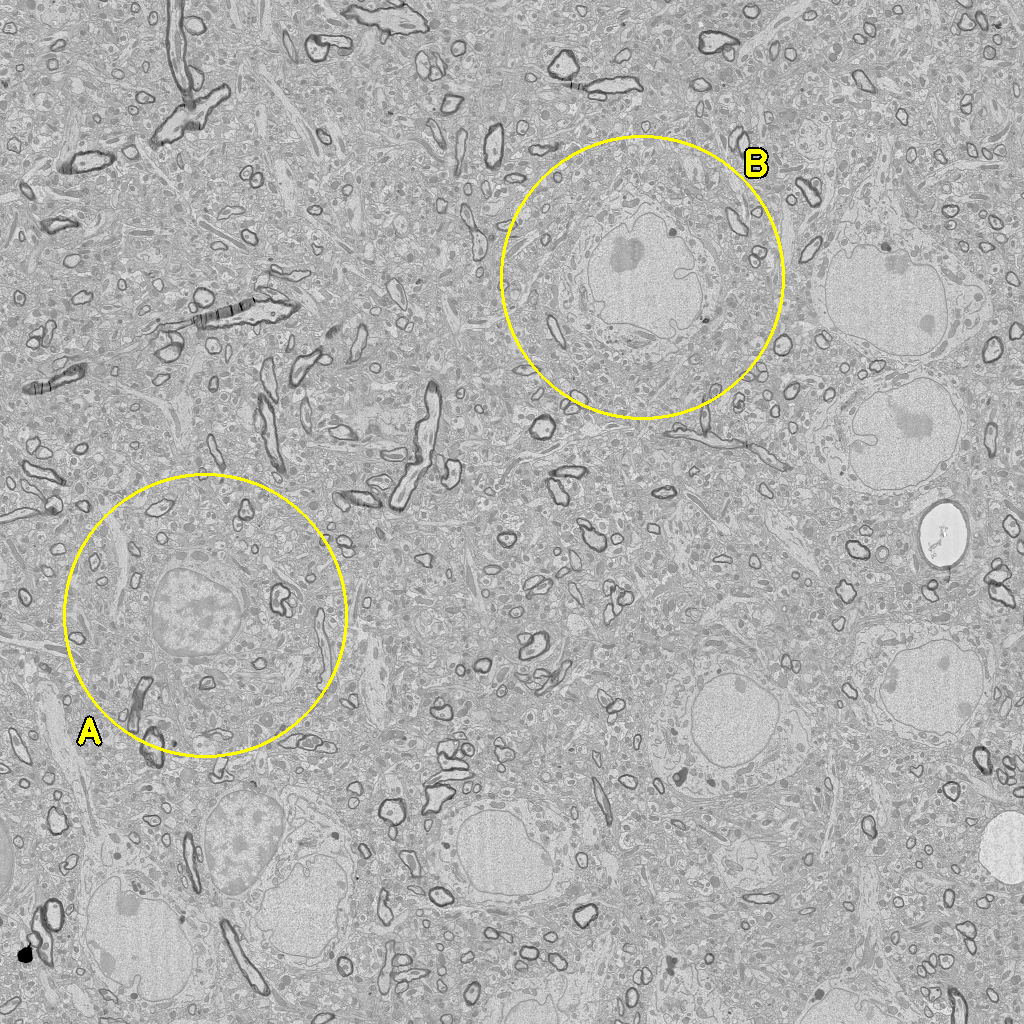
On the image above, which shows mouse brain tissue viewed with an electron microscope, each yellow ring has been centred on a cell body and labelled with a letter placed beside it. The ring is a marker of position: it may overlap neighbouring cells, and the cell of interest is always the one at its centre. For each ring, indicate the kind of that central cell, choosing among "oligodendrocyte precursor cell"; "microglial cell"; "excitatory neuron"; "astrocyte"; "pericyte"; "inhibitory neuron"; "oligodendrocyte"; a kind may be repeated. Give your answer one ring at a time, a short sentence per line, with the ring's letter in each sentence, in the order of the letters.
Ring A shows an oligodendrocyte at its centre.
Ring B shows an excitatory neuron at its centre.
